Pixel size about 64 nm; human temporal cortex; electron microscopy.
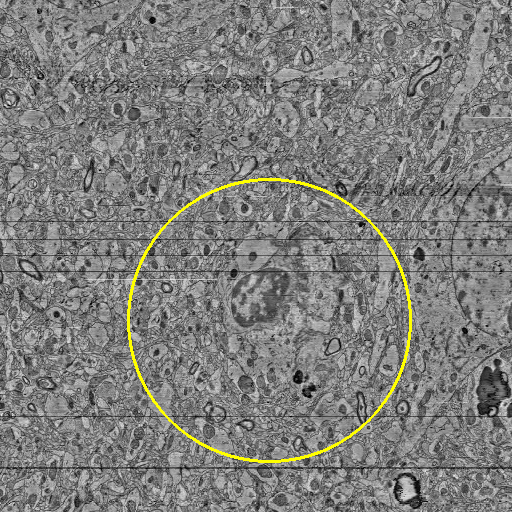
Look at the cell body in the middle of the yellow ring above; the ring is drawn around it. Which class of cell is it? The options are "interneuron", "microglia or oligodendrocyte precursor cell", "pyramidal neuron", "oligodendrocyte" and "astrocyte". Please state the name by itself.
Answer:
microglia or oligodendrocyte precursor cell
